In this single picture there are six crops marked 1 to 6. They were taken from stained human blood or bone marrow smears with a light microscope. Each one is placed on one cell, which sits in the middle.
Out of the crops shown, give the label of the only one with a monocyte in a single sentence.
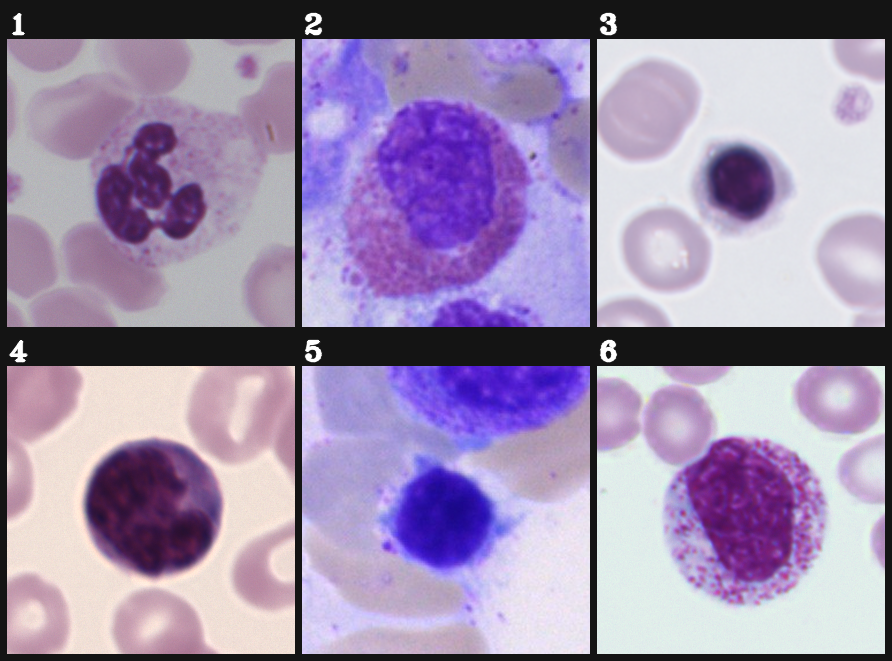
The crop showing a monocyte in this series is crop 4.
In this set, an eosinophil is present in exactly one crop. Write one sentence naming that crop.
Look at crop 2; that is the one with an eosinophil in its center.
